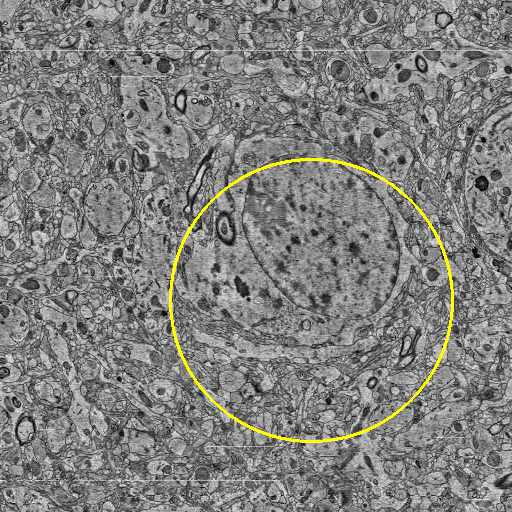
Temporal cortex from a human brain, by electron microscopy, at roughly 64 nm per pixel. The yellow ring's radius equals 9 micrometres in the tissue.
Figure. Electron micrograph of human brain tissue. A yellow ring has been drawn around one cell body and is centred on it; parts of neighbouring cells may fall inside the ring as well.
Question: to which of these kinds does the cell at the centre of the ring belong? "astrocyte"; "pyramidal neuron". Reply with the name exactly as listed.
astrocyte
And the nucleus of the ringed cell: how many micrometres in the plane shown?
Approximately 12 by 9 micrometers in this plane.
